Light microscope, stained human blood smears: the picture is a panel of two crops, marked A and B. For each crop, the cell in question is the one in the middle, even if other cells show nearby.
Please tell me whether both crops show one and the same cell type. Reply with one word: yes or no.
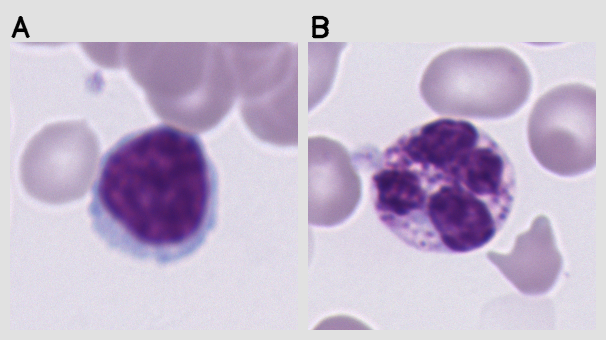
no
